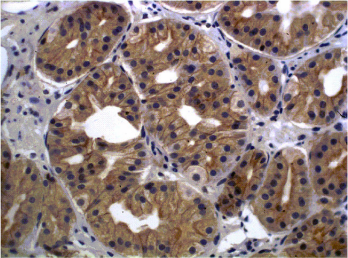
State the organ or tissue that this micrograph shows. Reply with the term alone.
Normal epithelia.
